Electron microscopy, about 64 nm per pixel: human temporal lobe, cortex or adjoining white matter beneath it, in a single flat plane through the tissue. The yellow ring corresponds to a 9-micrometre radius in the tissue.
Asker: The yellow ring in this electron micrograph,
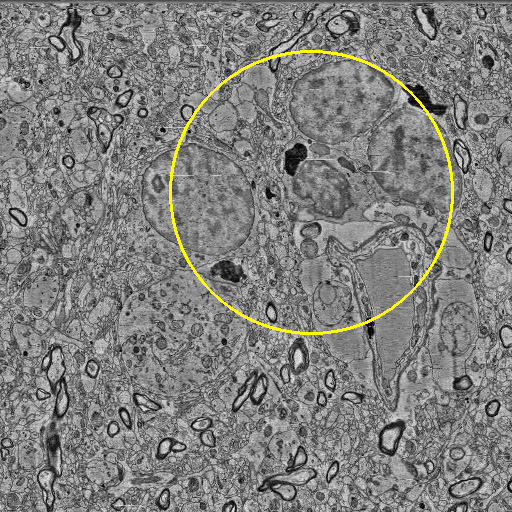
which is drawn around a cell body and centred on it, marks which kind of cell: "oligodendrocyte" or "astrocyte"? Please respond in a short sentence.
The marked cell is an oligodendrocyte.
